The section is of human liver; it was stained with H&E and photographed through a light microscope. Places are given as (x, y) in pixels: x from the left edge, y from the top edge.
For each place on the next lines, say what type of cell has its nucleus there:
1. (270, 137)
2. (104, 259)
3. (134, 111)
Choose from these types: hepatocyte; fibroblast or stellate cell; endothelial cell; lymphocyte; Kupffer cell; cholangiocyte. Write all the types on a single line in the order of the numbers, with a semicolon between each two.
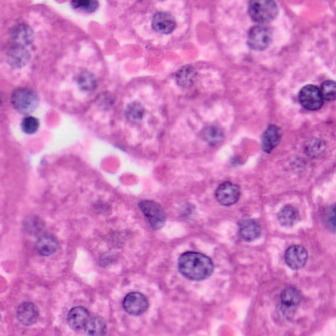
fibroblast or stellate cell; hepatocyte; hepatocyte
